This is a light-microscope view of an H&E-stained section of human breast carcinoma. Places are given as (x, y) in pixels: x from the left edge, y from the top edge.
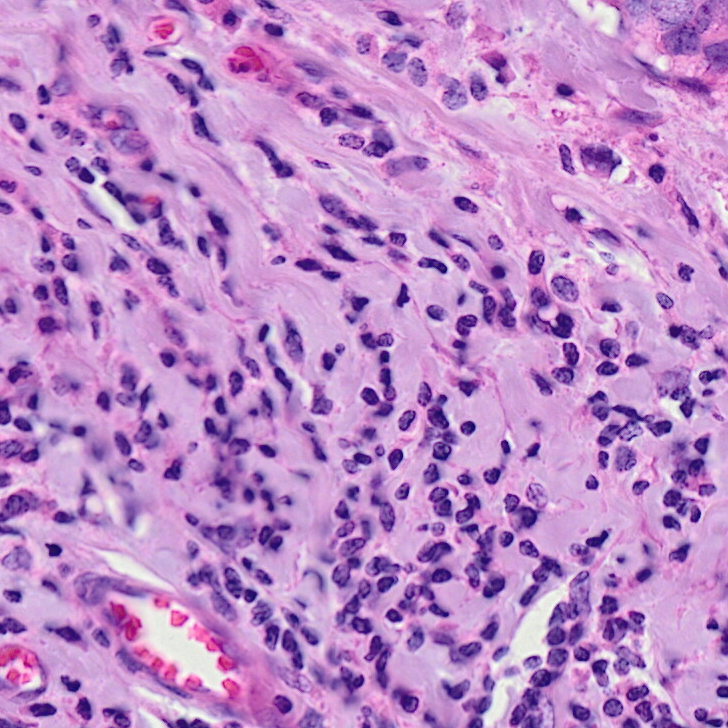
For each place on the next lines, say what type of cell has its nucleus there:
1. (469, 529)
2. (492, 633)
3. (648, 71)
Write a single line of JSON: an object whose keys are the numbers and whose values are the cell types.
{"1": "lymphocyte", "2": "lymphocyte", "3": "fibroblast"}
